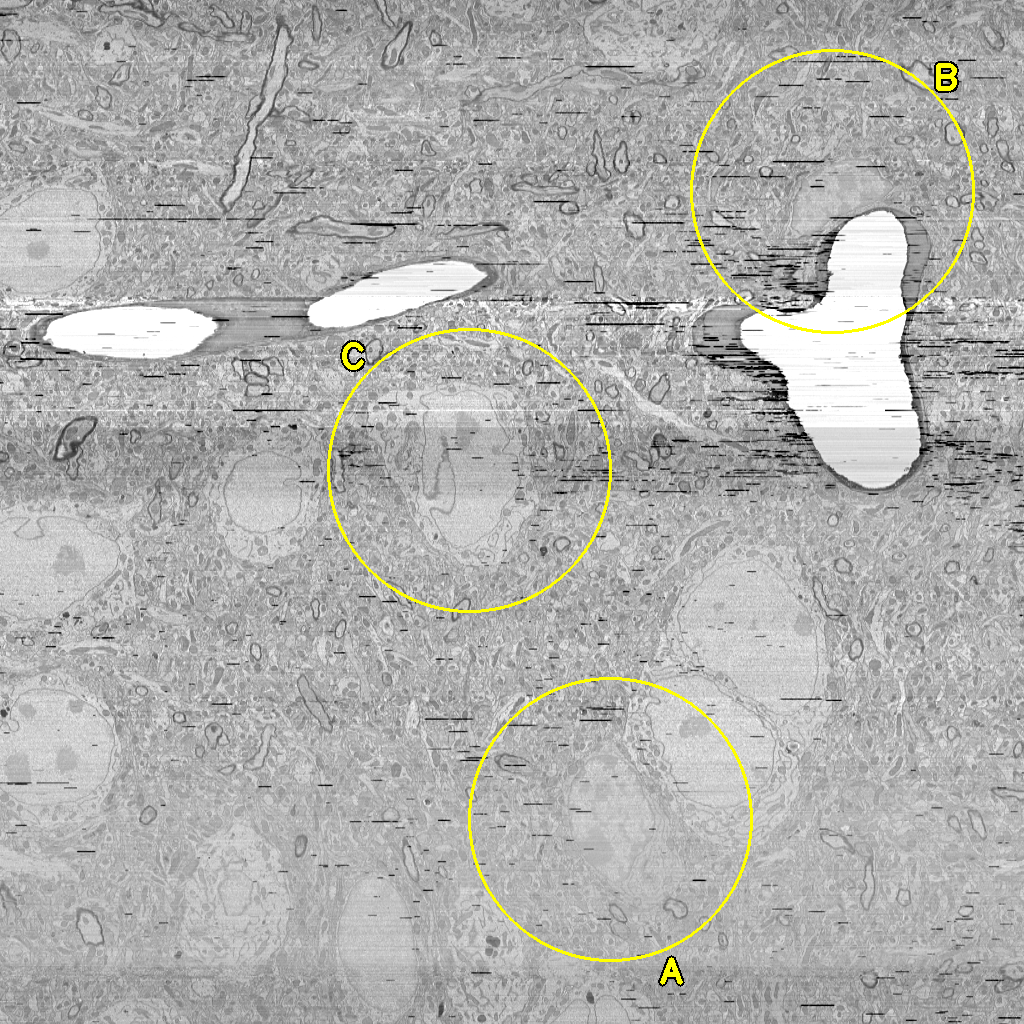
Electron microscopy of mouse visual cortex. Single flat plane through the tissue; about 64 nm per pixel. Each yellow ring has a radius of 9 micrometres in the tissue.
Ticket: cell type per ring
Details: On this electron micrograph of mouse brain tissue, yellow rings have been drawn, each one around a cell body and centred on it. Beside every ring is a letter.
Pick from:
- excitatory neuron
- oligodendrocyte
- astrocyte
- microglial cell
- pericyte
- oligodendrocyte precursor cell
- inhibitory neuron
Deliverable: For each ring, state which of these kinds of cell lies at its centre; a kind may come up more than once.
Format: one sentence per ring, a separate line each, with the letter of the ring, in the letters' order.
The cell body ringed as A belongs to an oligodendrocyte.
The cell body ringed as B belongs to a microglial cell.
The cell body ringed as C belongs to an excitatory neuron.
